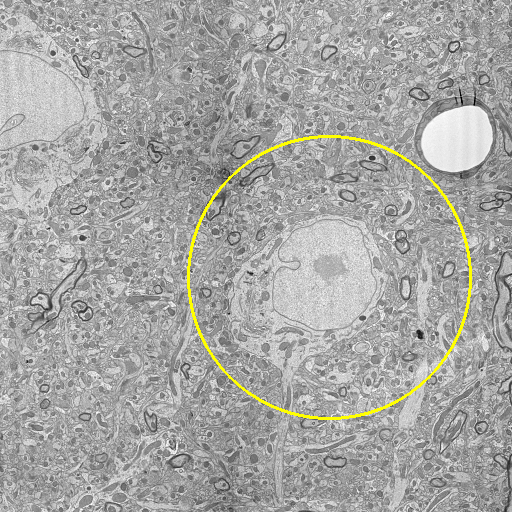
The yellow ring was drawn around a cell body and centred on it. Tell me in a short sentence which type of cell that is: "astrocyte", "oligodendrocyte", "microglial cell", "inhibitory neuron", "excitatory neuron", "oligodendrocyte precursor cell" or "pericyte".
The cell at the ring's centre is an excitatory neuron.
